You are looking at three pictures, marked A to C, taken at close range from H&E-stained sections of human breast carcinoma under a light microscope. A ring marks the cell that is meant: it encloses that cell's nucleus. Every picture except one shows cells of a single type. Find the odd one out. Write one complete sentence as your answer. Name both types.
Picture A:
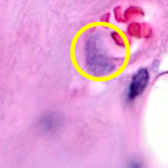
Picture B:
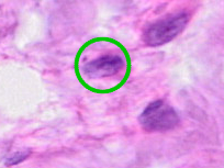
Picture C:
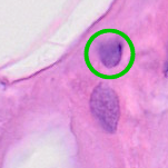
The different one is picture A; it shows an endothelial cell, whereas all the others show fibroblasts.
